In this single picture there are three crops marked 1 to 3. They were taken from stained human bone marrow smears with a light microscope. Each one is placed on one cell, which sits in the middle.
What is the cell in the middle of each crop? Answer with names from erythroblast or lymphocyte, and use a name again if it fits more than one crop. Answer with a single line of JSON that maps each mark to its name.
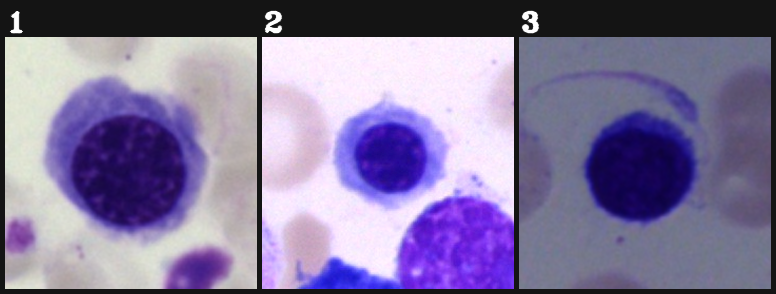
{"1": "erythroblast", "2": "erythroblast", "3": "lymphocyte"}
